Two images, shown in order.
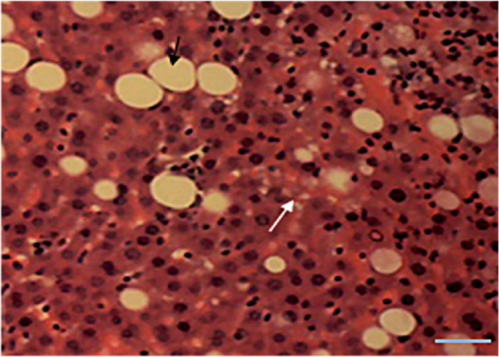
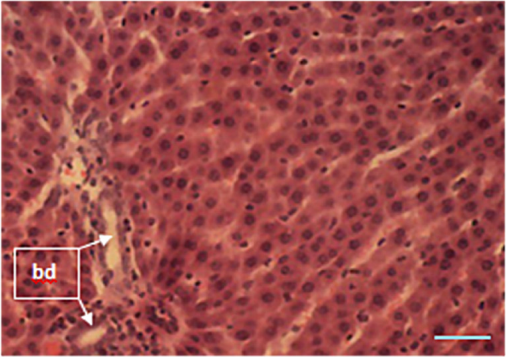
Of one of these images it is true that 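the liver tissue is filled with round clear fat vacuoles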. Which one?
The first image.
